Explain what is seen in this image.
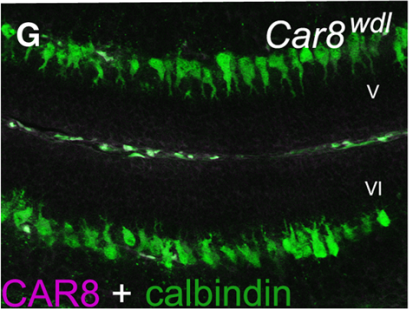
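Two neighbouring cerebellar folia, each showing a single row of Purkinje cells labelled green only. The cell bodies are large and pear-shaped, each with a thick process on one side, arranged side by side in a band. Magenta labelling is nearly absent from the cells; only a thin line of mixed label runs along the boundary between the folia. The dark tissue between the two bands holds few labelled elements.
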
